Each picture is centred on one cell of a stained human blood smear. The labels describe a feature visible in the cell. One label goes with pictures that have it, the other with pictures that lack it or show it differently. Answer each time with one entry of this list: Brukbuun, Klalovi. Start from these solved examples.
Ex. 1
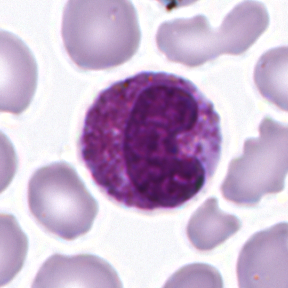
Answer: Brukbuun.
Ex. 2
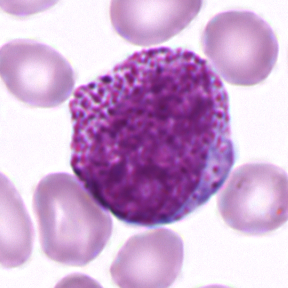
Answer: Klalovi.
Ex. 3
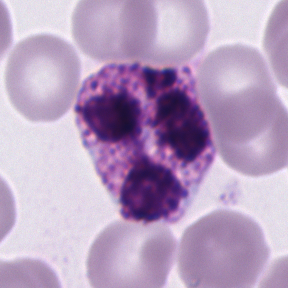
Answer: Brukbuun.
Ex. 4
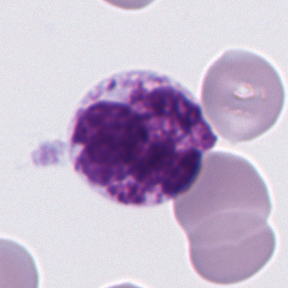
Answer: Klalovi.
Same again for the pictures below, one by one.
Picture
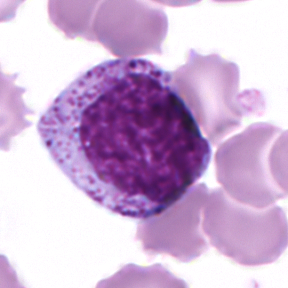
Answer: Brukbuun.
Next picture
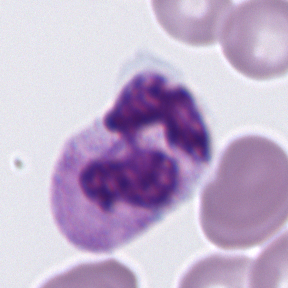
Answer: Brukbuun.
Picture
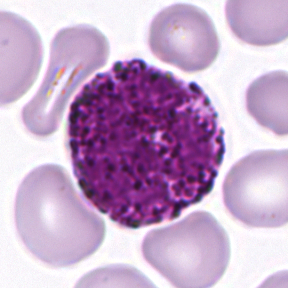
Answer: Klalovi.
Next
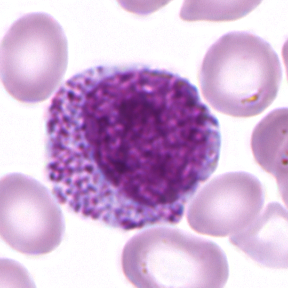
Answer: Klalovi.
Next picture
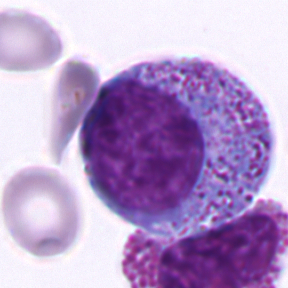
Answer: Klalovi.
